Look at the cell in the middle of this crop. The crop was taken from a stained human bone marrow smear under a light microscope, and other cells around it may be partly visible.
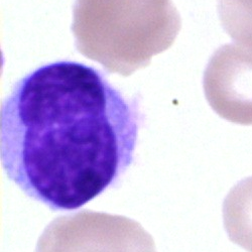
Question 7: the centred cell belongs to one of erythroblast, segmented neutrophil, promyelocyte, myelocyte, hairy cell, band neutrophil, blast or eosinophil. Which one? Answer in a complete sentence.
The cell at the middle of the crop is recognized as a hairy cell.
